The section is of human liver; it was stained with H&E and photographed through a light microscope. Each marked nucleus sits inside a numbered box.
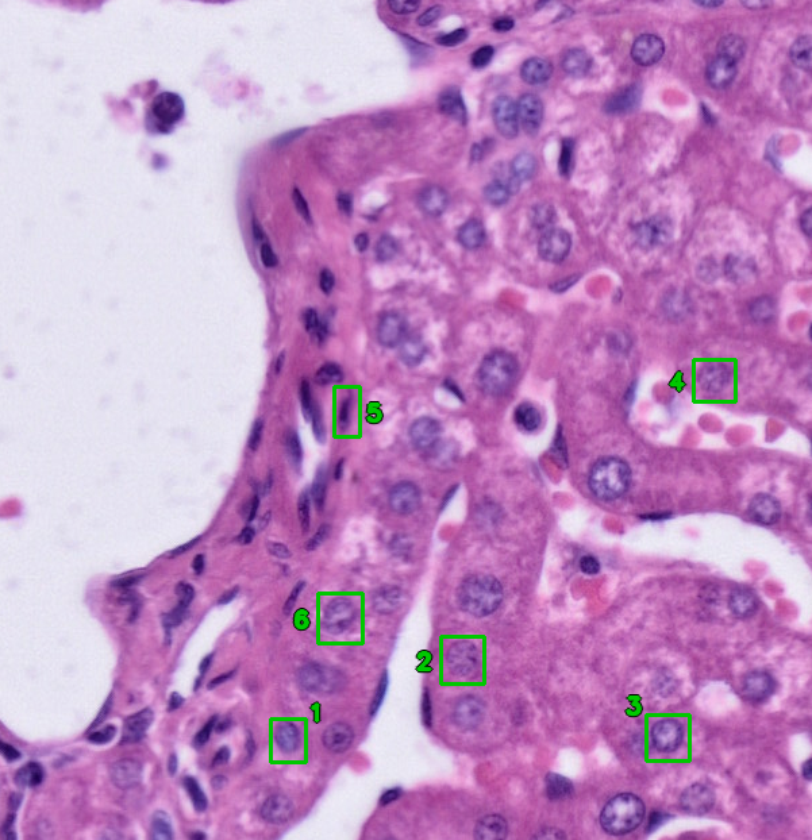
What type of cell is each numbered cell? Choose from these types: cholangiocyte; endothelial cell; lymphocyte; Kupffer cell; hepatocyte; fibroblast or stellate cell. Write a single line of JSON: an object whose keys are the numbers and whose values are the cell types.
{"1": "cholangiocyte", "2": "hepatocyte", "3": "hepatocyte", "4": "hepatocyte", "5": "fibroblast or stellate cell", "6": "hepatocyte"}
